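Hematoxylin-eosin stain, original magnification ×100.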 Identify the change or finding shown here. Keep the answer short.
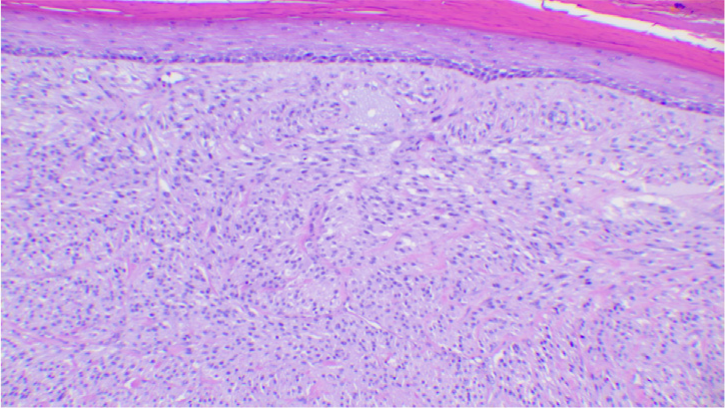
Proliferation of spindled cells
